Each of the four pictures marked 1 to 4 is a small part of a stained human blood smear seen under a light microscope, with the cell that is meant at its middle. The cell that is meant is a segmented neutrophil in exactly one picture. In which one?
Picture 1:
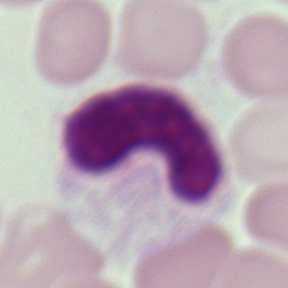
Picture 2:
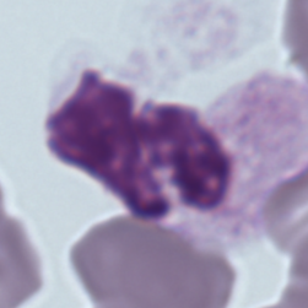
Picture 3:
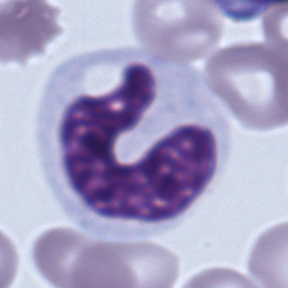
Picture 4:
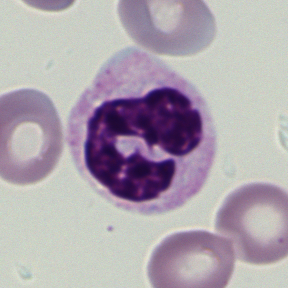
2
